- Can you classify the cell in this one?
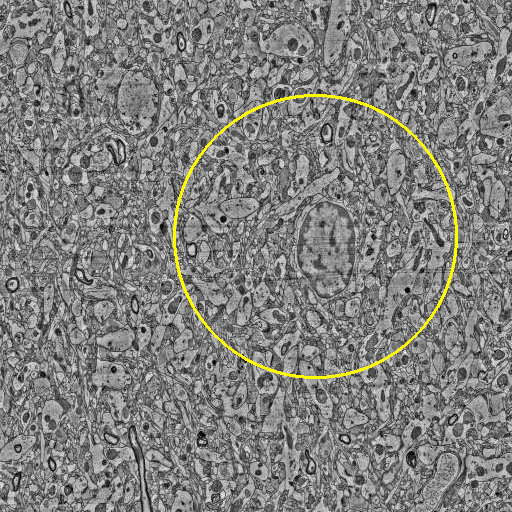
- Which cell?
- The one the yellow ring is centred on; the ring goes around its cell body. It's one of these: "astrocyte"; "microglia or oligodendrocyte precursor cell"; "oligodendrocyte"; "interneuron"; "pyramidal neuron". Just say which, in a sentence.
The cell body in the ring belongs to a microglial cell or oligodendrocyte precursor cell.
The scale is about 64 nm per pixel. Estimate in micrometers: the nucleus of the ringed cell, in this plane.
Clearly longer than it is wide in this plane, the nucleus measures roughly 6 by 4 micrometres.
